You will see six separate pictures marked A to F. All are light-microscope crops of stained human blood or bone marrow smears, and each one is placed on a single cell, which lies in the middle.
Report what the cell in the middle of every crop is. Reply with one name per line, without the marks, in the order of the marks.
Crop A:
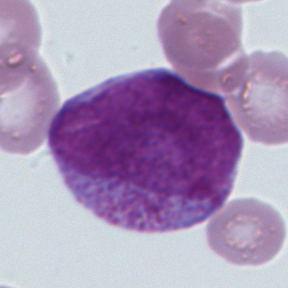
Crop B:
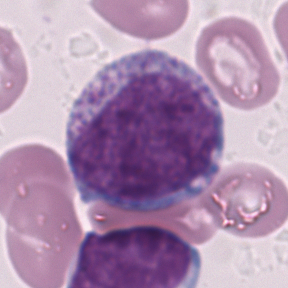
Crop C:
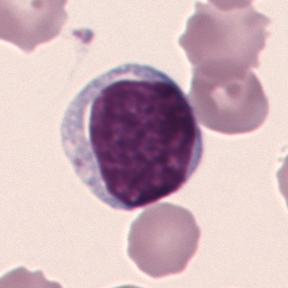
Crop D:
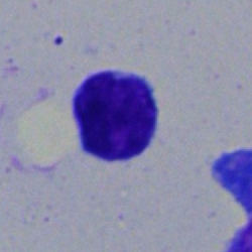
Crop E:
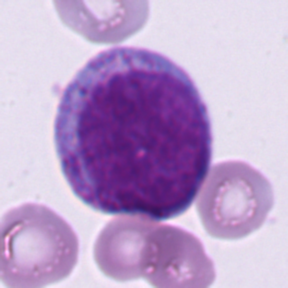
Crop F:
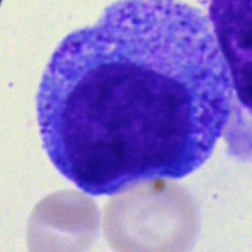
promyelocyte
promyelocyte
lymphocyte
lymphocyte
promyelocyte
promyelocyte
